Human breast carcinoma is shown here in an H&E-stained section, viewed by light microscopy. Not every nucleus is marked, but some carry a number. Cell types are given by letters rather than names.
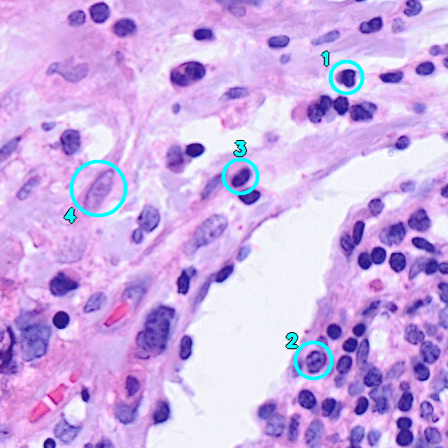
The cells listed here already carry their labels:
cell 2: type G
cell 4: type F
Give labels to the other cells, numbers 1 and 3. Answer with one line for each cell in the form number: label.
1: type G
3: type G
